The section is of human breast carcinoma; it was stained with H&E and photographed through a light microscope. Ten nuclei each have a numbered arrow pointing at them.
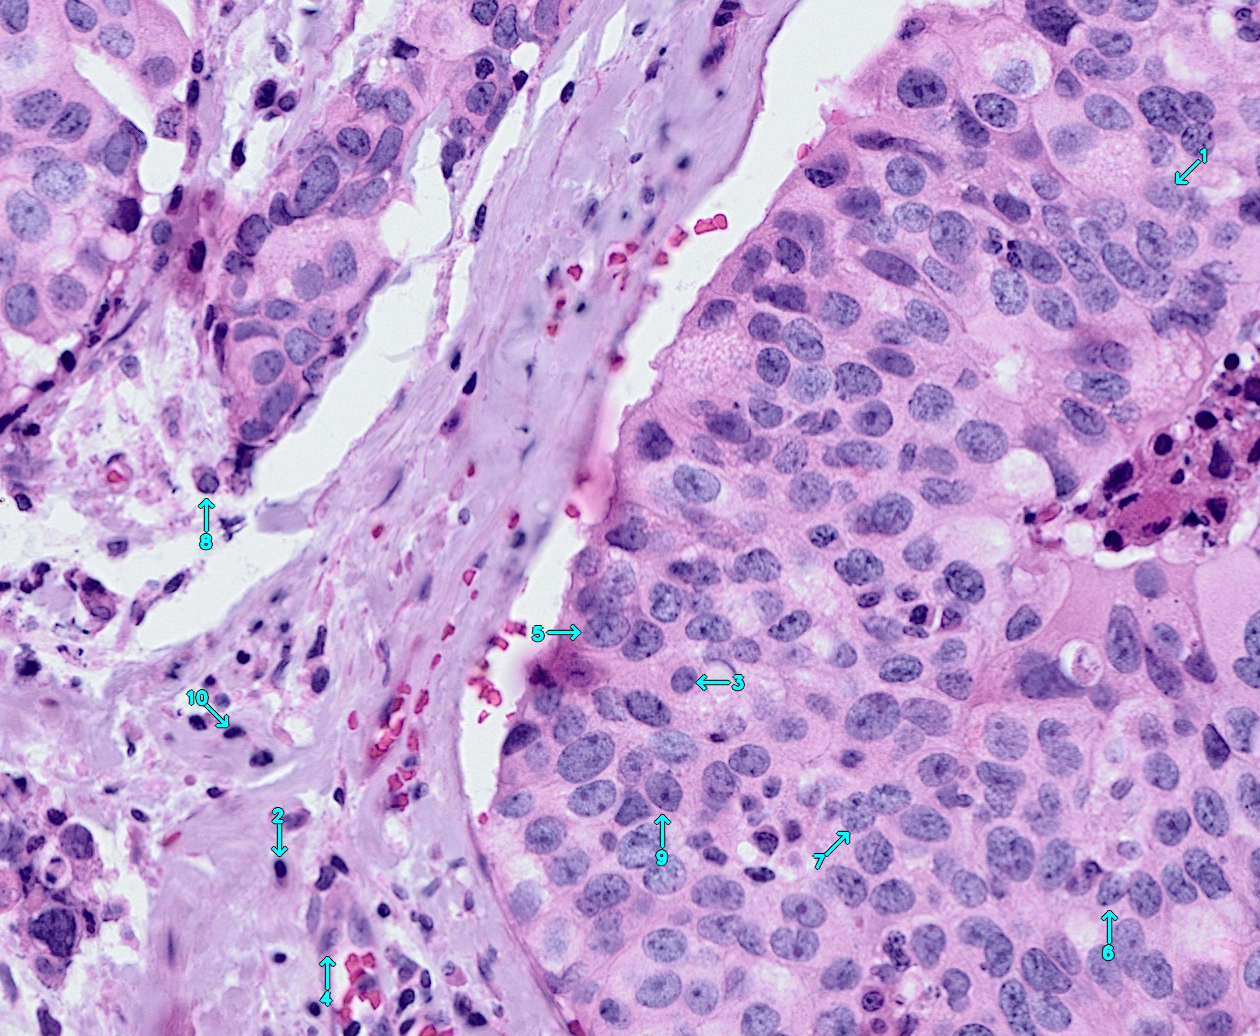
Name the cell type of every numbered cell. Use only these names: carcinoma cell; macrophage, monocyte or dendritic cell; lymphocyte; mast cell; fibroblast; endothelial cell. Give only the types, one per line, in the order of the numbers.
carcinoma cell
lymphocyte
carcinoma cell
endothelial cell
carcinoma cell
carcinoma cell
carcinoma cell
macrophage, monocyte or dendritic cell
carcinoma cell
lymphocyte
